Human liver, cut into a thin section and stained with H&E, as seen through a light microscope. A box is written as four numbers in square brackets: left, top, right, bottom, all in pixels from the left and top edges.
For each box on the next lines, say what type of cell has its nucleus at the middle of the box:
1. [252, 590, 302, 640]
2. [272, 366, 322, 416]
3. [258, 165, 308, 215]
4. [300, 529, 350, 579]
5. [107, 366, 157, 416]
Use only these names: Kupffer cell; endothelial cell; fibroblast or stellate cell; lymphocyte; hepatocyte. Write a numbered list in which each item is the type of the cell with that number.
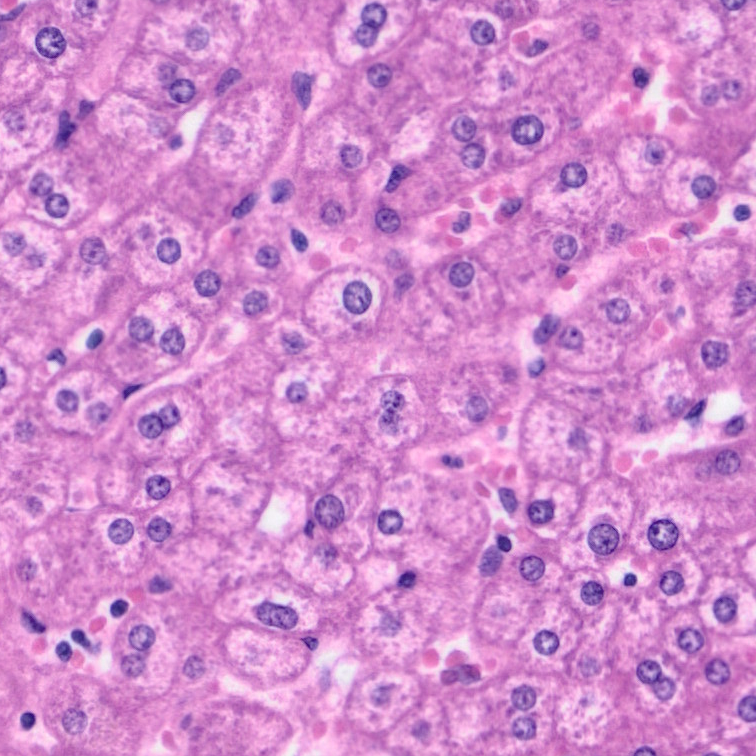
1. hepatocyte
2. hepatocyte
3. endothelial cell
4. hepatocyte
5. fibroblast or stellate cell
